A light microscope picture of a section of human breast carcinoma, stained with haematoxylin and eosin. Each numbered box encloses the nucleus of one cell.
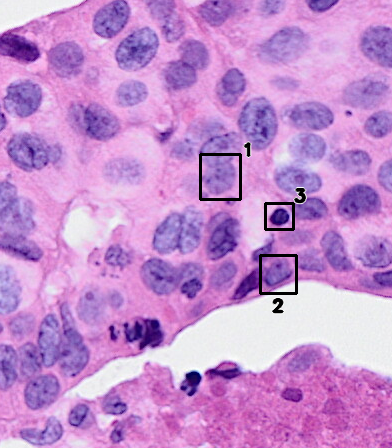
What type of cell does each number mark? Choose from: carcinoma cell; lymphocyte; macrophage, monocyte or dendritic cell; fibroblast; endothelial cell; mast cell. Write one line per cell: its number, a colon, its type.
1: carcinoma cell
2: carcinoma cell
3: lymphocyte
